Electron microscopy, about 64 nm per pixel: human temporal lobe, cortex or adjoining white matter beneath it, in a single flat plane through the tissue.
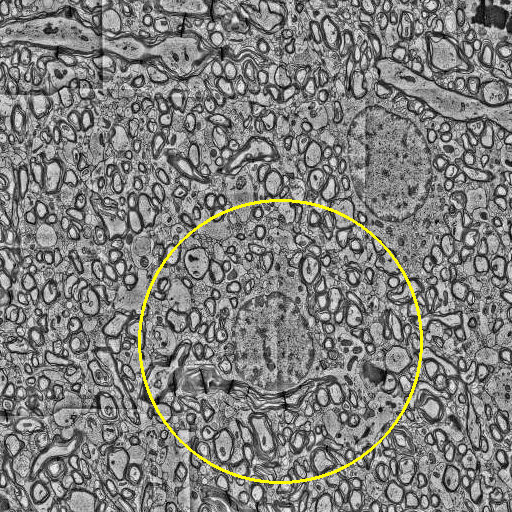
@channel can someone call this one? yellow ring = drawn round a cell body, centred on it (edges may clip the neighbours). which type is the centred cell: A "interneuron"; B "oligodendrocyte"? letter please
B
